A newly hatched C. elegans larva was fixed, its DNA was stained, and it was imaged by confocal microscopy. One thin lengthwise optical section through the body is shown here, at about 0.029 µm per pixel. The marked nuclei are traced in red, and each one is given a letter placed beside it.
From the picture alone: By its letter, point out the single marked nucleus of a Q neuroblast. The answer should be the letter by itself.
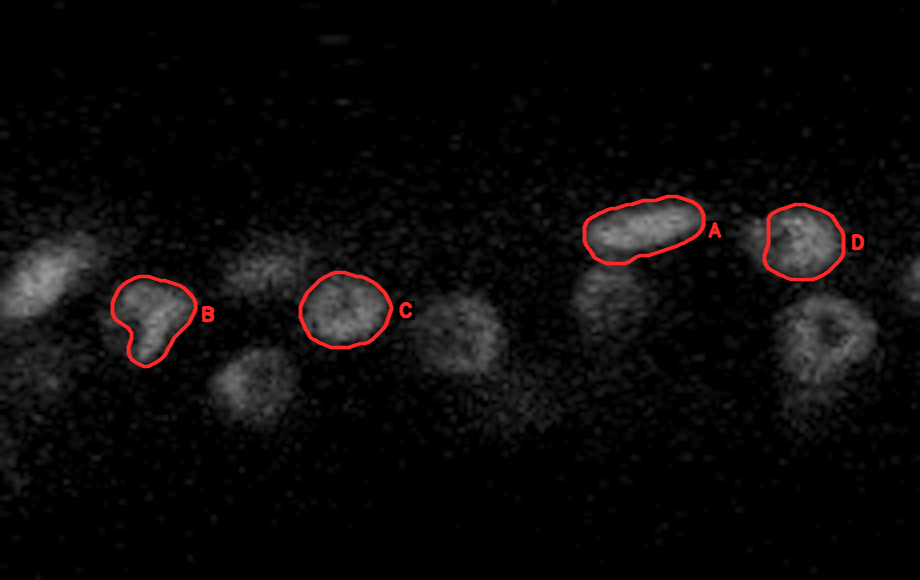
C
